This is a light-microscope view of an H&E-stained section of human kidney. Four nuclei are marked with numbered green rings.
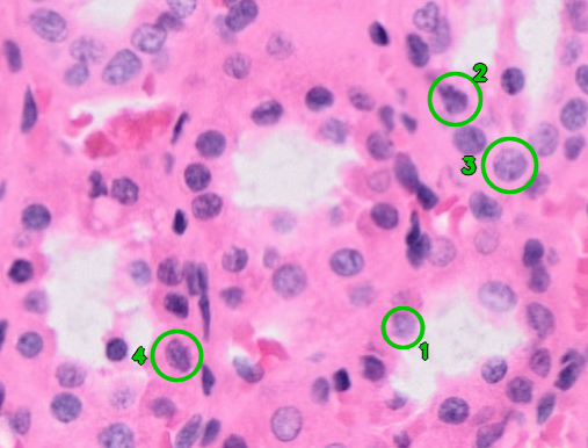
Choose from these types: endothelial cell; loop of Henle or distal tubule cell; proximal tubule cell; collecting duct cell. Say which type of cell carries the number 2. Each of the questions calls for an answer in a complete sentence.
Identified as a collecting duct cell is the cell bearing the number 2.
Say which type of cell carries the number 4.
Cell 4 of the marked set is a loop of Henle or distal tubule cell.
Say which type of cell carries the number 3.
Heads up, the cell numbered 3 is a collecting duct cell.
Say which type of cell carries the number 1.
The cell marked with number 1 is a loop of Henle or distal tubule cell.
